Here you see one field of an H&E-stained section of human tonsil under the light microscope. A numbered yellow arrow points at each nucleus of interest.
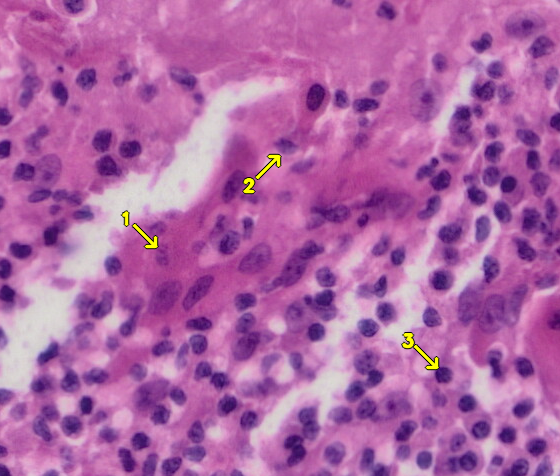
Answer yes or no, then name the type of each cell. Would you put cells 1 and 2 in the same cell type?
Yes, both are squamous epithelial cells.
